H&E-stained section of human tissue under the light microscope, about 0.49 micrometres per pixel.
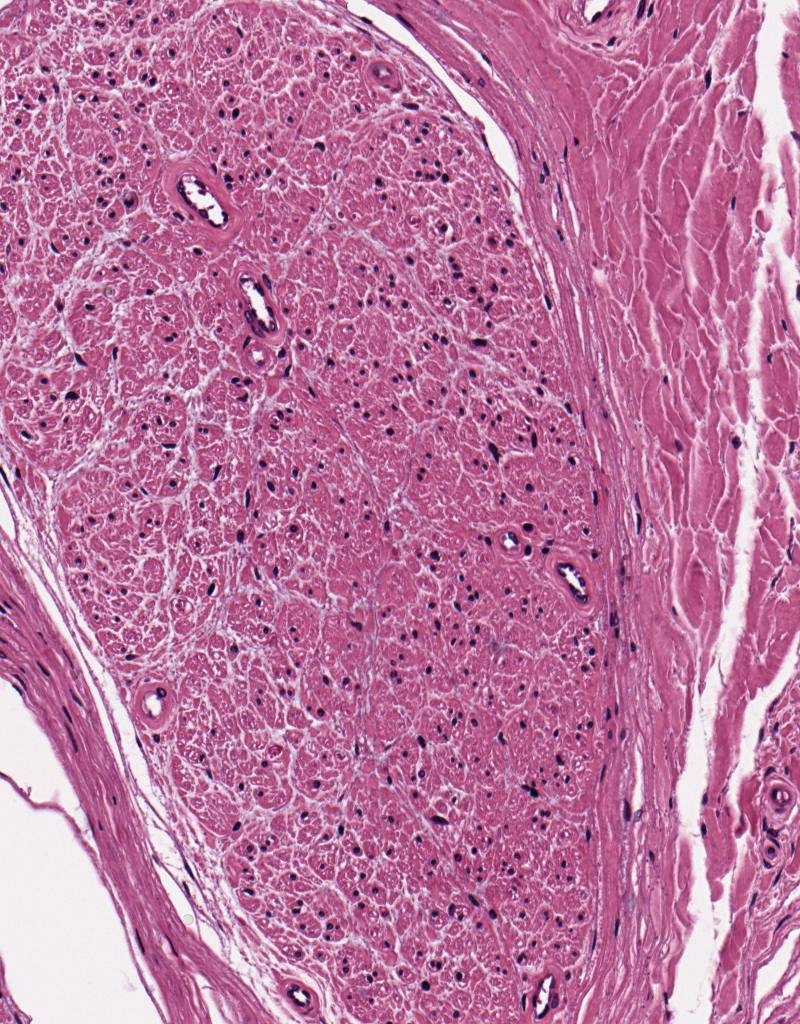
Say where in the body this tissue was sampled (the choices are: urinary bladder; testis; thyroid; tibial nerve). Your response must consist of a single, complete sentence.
The tissue sample derives from the tibial nerve.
